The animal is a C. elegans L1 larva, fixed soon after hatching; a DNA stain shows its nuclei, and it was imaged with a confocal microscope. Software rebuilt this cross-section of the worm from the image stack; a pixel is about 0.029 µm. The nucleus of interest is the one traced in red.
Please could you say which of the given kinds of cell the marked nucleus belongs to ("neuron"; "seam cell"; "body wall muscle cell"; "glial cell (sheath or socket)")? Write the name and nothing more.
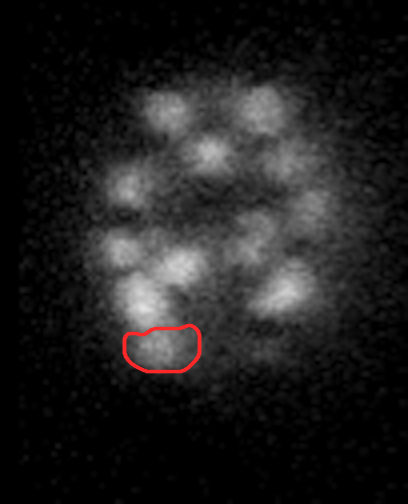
body wall muscle cell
